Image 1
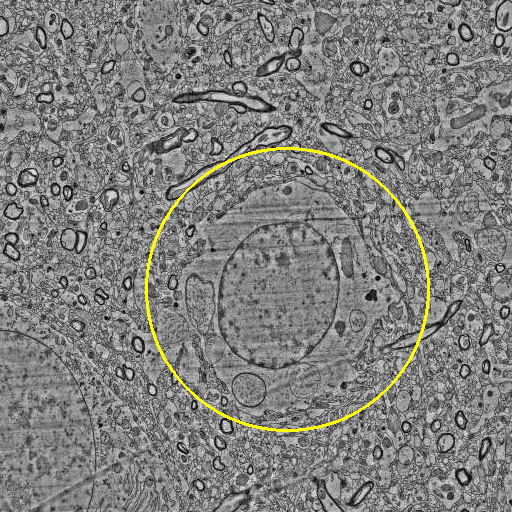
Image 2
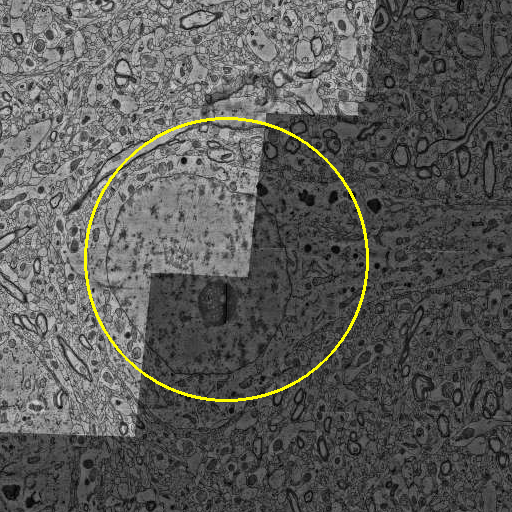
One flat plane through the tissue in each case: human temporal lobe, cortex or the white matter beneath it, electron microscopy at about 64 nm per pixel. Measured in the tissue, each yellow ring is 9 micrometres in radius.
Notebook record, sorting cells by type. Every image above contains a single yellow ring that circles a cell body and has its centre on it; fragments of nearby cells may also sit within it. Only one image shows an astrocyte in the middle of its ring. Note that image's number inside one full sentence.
For image 1, the cell in the middle of its yellow ring is the match.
